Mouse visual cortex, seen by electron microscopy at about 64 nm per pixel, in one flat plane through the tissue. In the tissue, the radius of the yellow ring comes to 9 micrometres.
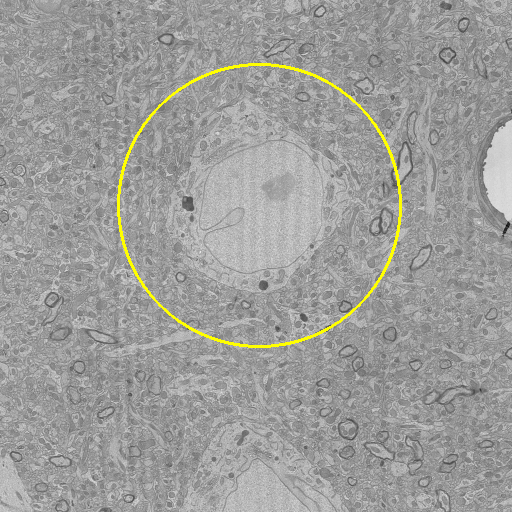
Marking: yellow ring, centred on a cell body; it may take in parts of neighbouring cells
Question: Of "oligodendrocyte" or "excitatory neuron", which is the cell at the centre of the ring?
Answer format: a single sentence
The ring surrounds the body of an excitatory neuron.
